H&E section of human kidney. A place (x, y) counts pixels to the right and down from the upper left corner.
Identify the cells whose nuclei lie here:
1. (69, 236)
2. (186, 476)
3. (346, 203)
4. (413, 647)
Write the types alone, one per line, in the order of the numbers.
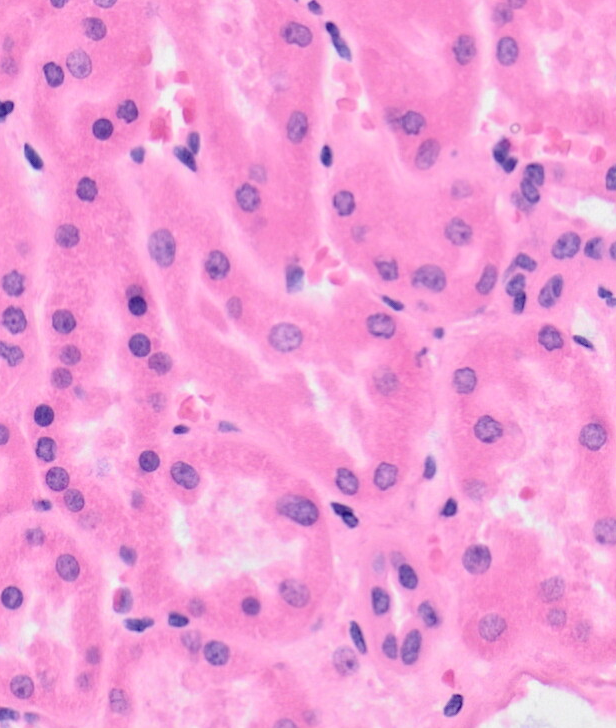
proximal tubule cell
proximal tubule cell
proximal tubule cell
collecting duct cell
